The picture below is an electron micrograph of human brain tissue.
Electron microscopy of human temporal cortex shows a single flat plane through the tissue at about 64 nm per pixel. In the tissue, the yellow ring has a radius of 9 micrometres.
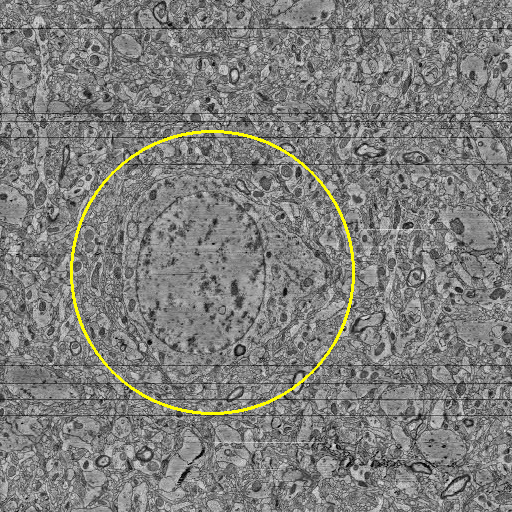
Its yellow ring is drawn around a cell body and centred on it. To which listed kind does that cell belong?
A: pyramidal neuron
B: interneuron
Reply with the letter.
A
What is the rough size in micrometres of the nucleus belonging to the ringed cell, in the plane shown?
Approximately 11 micrometres long and 8 micrometres wide, in this plane.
